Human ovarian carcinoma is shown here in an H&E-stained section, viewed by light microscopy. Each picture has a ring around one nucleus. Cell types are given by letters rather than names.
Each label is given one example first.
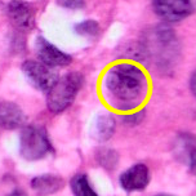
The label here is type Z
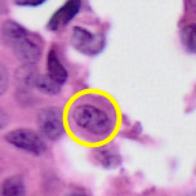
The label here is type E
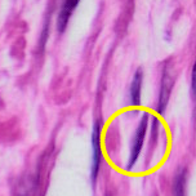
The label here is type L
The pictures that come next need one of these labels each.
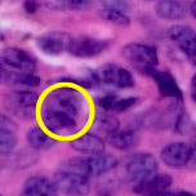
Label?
type Z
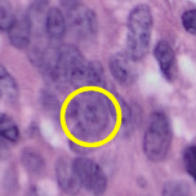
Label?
type Z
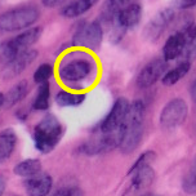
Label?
type E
